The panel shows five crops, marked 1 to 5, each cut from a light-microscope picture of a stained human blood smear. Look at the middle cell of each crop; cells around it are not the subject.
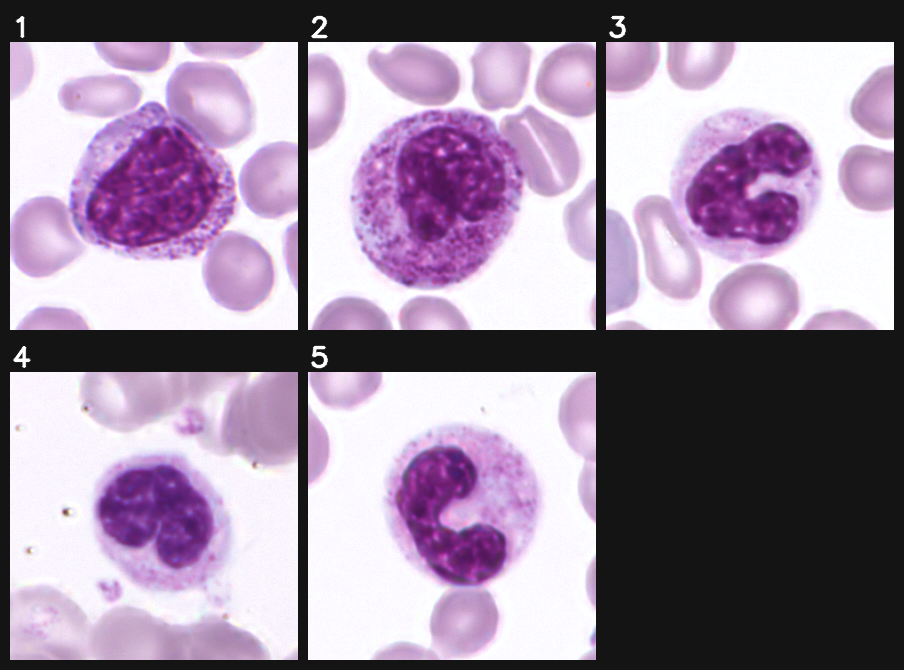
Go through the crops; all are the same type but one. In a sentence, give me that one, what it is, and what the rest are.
The different crop is 1; it is a metamyelocyte, and the others all show band neutrophils.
